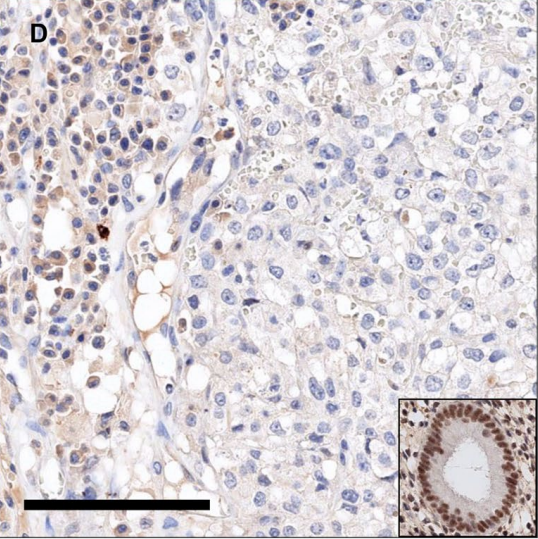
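This field shows sheets of neoplastic cells whose nuclei are counterstained blue and lack brown nuclear staining. The tumour cells on the right are loosely arranged, with round to oval pale nuclei and clear to faintly granular cytoplasm. On the left, cells are more crowded and some show faint brown cytoplasmic tint, with clear vacuolated spaces between them and a thin vessel-like strand running down the field. The inset shows a gland with a central lumen lined by tall columnar cells whose nuclei are strongly brown.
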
